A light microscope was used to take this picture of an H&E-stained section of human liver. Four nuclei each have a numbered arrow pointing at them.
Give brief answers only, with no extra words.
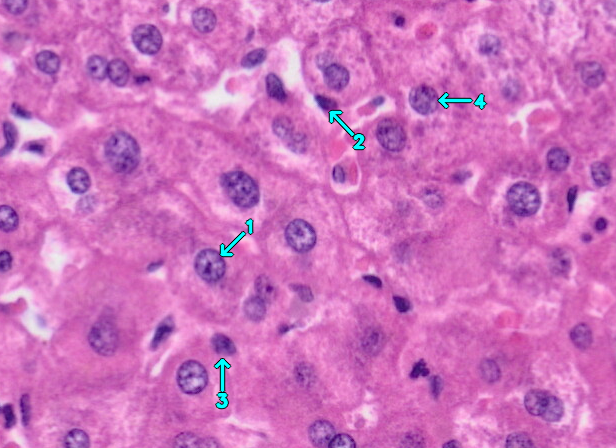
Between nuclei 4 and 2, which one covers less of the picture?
2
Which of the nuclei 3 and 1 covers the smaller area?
3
